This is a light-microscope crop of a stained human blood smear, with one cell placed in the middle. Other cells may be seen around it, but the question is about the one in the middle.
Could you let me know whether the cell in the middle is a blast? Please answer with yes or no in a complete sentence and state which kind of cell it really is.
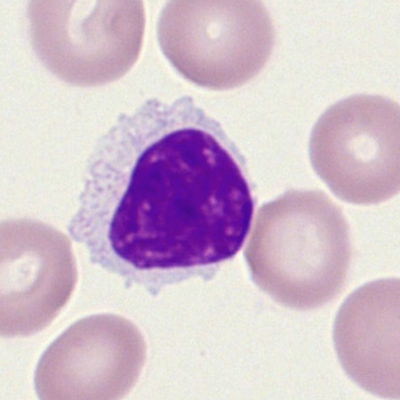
No, wrong label: the middle cell is a lymphocyte instead of a blast.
